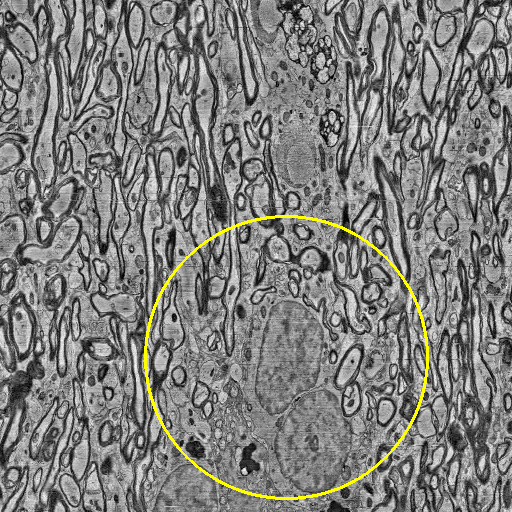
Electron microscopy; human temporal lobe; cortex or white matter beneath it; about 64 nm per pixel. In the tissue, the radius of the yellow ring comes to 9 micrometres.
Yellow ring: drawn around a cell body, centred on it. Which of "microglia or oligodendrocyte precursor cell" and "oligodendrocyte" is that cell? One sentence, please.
That cell body is from an oligodendrocyte.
